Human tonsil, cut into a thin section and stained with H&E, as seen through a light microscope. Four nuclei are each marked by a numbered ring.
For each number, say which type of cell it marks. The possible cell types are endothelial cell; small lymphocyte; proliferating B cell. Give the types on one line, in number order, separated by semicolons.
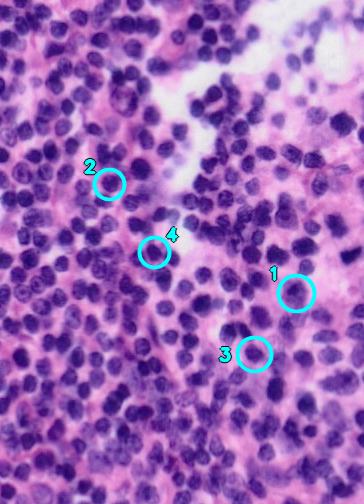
proliferating B cell; small lymphocyte; proliferating B cell; small lymphocyte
